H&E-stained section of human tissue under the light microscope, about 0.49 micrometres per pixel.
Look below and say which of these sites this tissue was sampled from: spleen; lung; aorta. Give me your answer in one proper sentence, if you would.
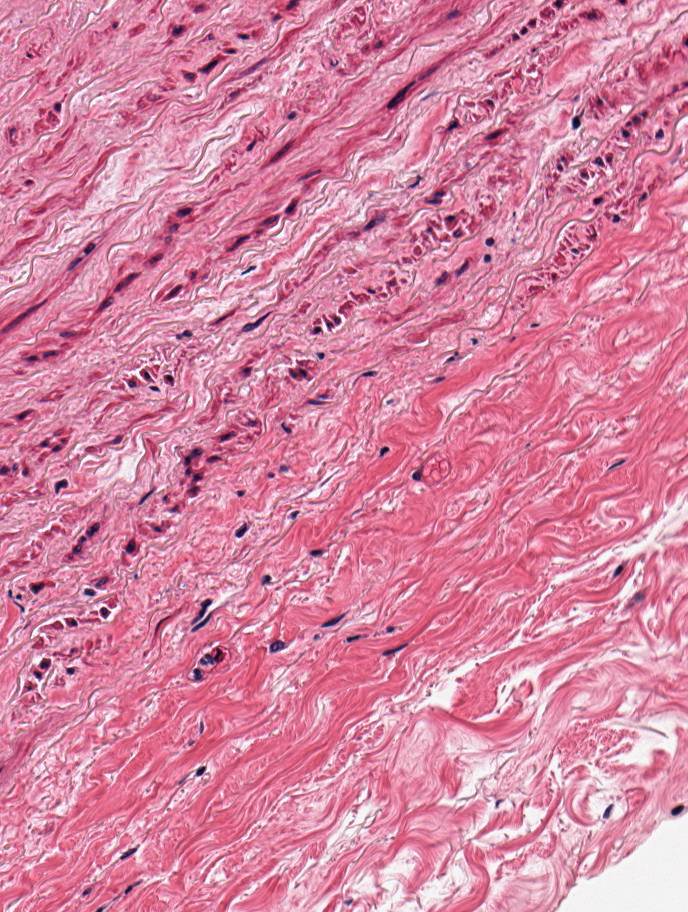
It was the aorta that provided this tissue sample.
